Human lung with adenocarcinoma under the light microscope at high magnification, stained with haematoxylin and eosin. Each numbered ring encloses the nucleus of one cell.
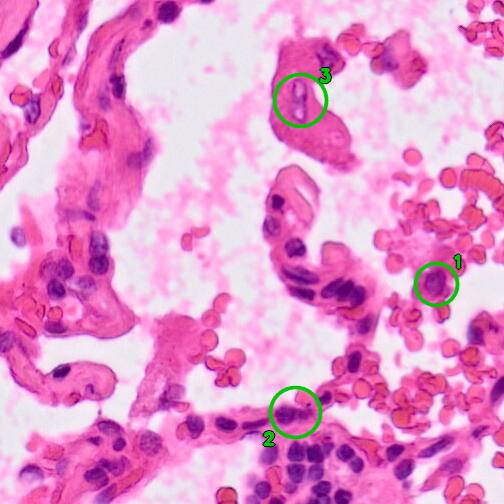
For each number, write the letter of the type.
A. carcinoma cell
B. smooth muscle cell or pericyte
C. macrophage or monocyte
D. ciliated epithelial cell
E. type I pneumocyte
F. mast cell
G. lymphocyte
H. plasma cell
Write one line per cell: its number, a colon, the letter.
1: C
2: E
3: C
